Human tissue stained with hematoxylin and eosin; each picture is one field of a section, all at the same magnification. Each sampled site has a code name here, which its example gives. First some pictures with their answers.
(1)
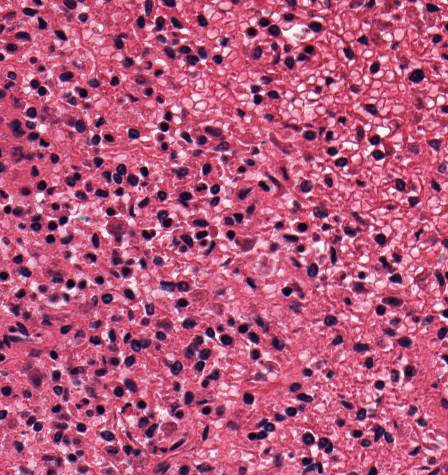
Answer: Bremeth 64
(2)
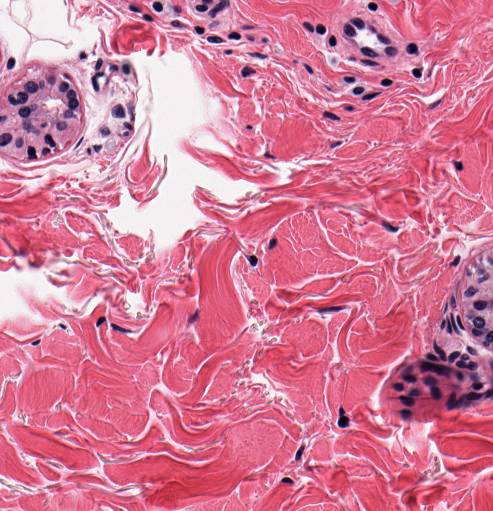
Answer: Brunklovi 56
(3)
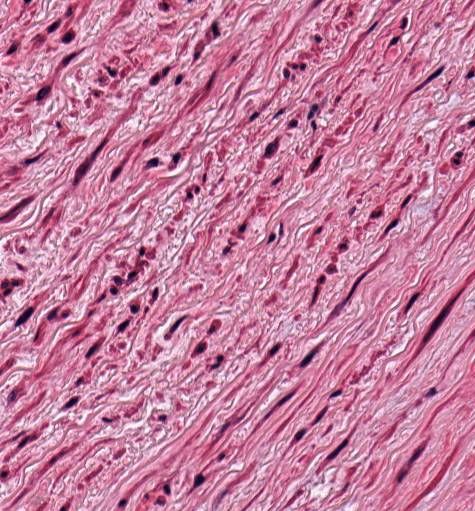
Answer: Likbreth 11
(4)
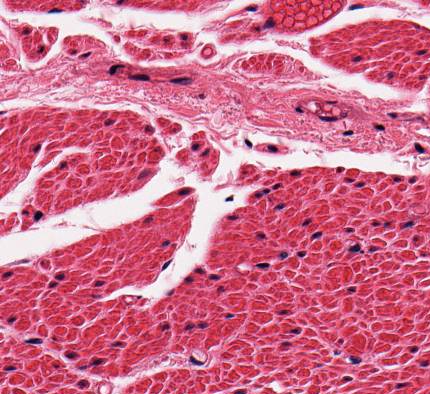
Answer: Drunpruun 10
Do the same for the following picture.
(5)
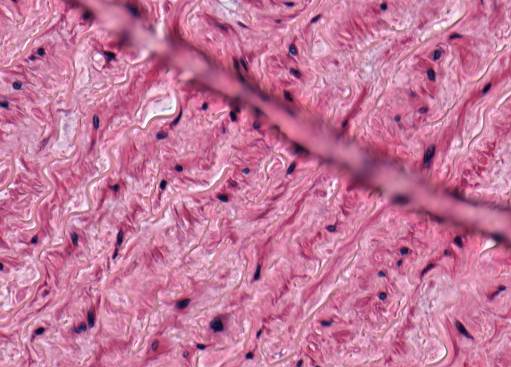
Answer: Likbreth 11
